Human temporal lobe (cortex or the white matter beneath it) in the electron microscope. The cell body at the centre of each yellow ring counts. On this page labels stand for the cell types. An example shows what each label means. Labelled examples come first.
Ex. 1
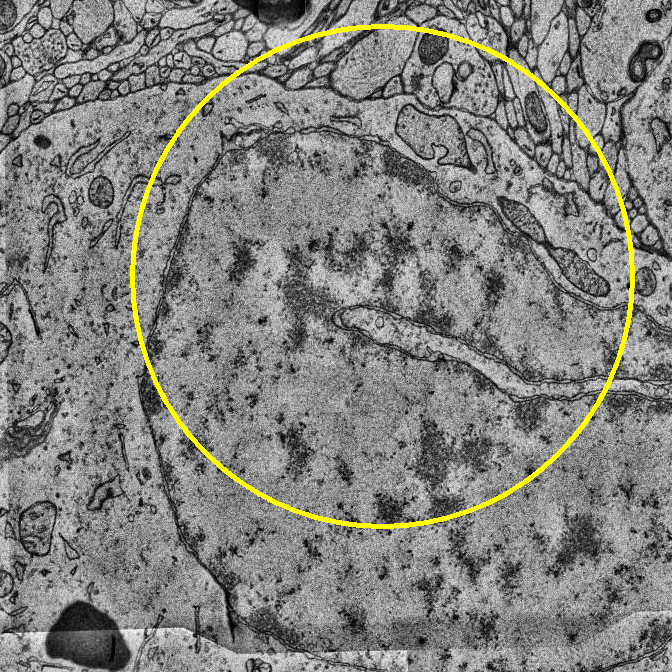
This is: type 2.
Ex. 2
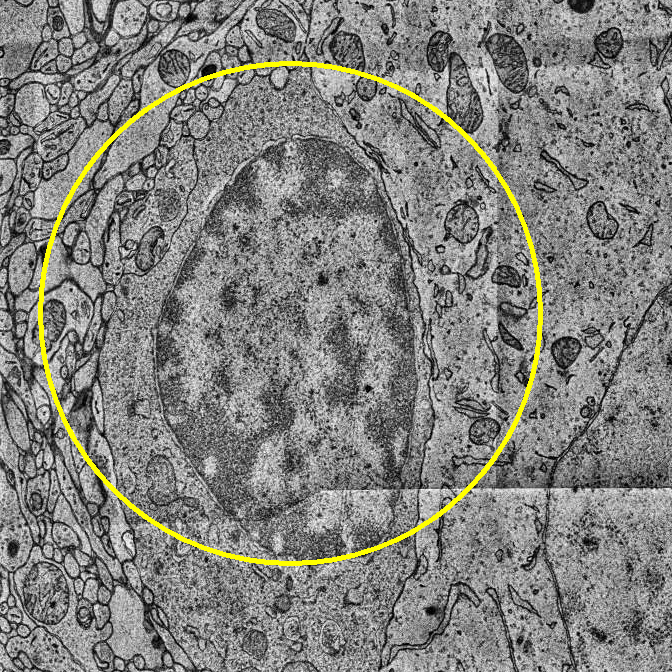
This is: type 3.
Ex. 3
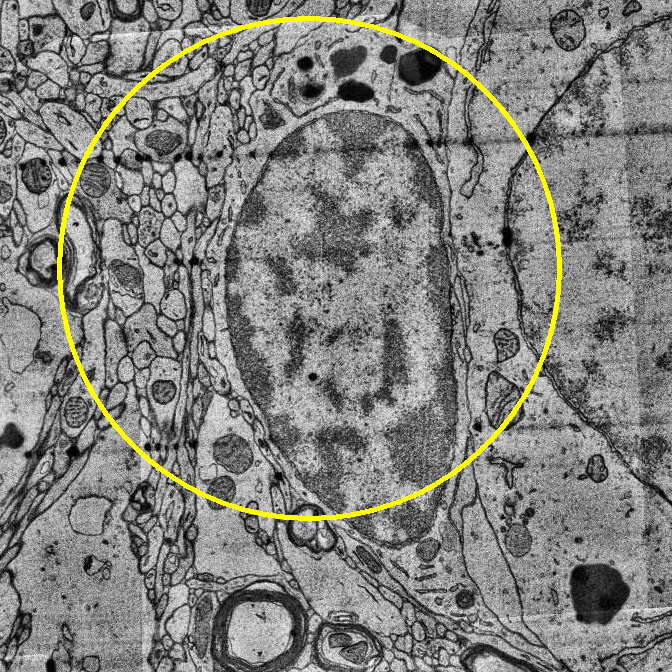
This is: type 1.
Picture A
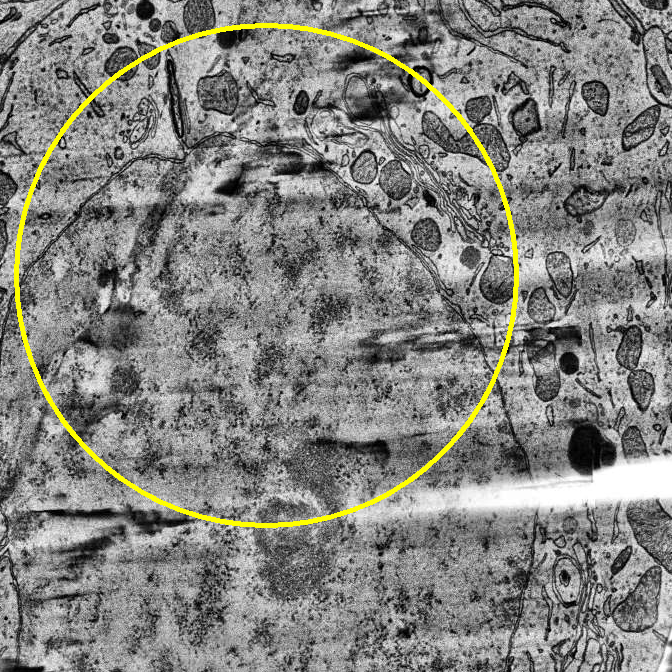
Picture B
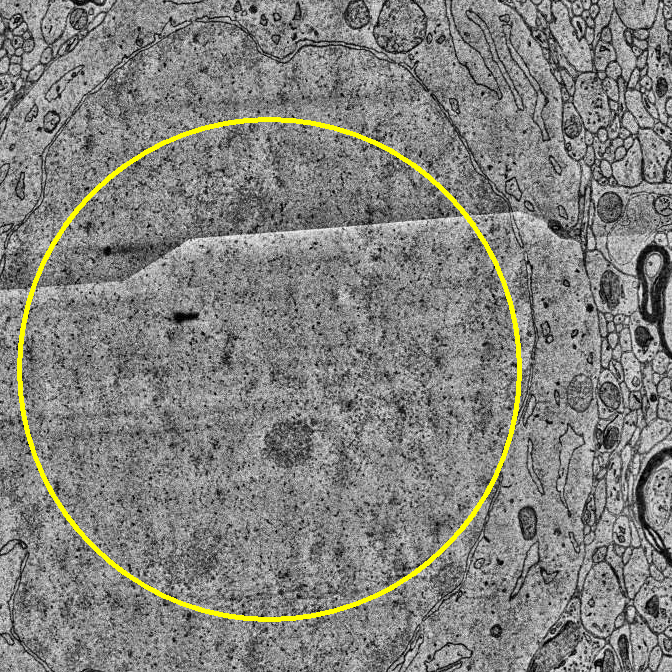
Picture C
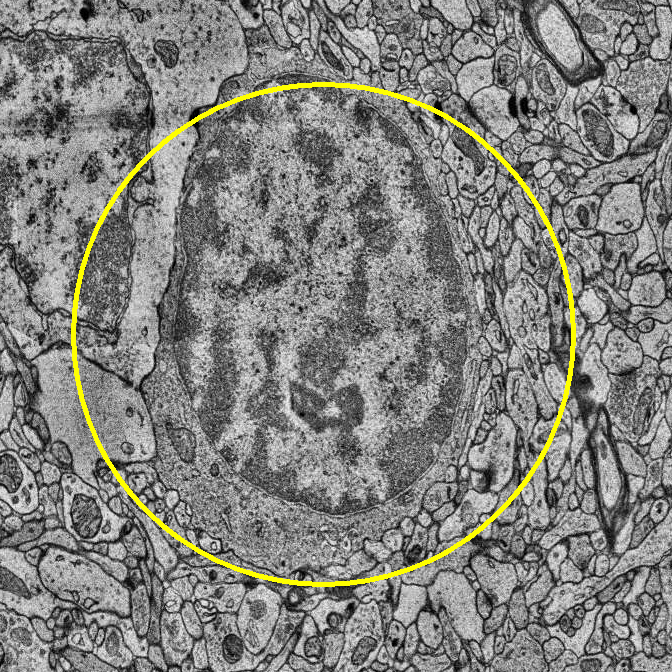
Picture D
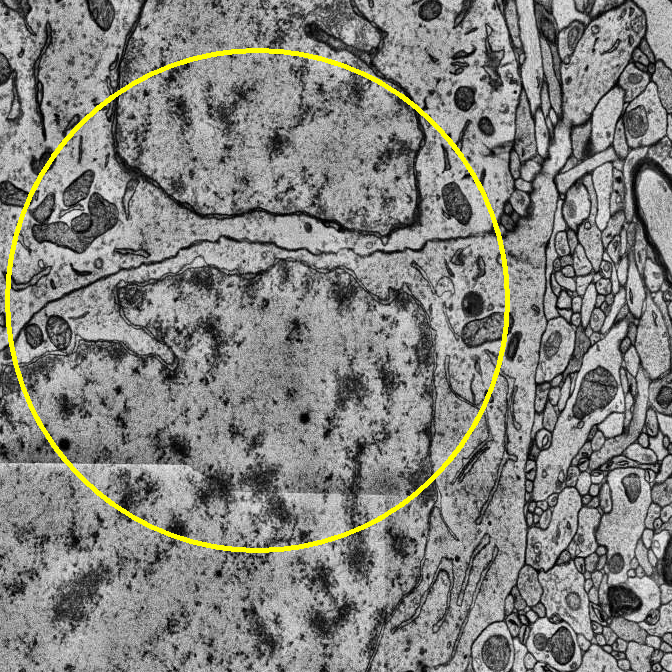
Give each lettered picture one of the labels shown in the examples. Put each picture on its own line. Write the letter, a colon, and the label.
A: type 2.
B: type 2.
C: type 3.
D: type 2.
